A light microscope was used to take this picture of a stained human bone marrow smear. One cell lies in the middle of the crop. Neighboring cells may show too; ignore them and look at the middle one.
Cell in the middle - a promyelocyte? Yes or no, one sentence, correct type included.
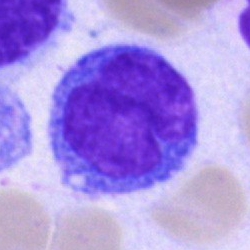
No, the central cell is classed as a monocyte, not a promyelocyte.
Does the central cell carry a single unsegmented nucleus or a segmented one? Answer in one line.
Between us, the nucleus here is just one compact mass, round, oval or kidney-shaped.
